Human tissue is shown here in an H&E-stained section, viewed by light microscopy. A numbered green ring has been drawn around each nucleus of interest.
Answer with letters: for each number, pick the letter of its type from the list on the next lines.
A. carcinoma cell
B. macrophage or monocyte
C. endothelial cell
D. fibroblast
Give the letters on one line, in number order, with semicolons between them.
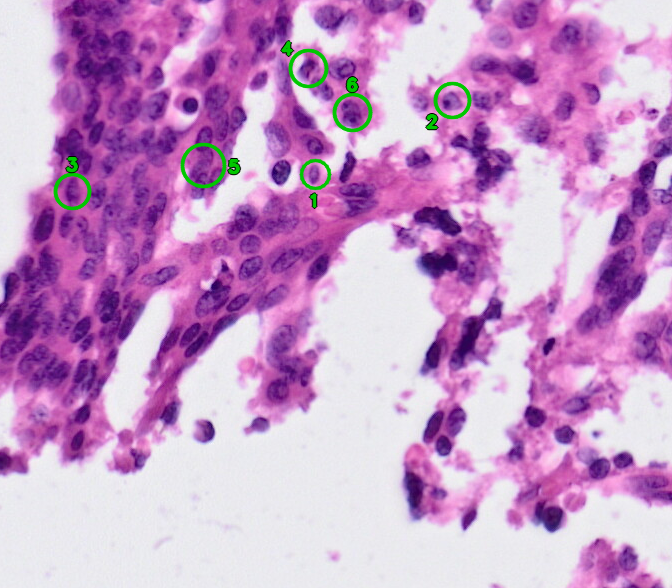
B; B; A; B; A; B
